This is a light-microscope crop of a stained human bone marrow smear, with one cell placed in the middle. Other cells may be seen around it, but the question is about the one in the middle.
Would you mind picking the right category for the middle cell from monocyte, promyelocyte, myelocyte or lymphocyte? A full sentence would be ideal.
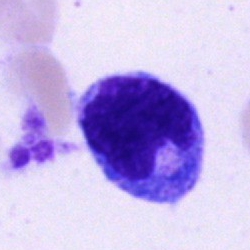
As for the cell in the middle, it is a monocyte.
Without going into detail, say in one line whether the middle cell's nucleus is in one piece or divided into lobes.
The nuclear material is gathered into one compact round, oval or kidney-shaped mass.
